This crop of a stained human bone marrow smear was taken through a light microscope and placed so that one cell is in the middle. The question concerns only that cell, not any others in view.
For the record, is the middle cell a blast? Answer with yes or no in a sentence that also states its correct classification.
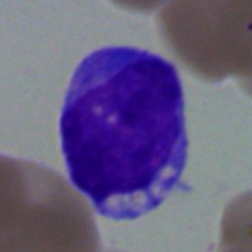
Yes, the central cell of this crop corresponds to a blast.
